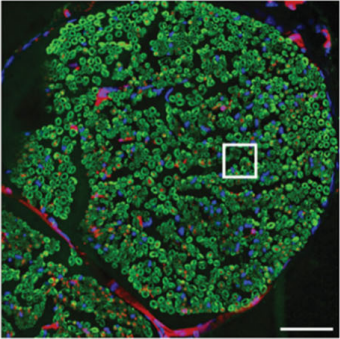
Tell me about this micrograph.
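Small blue nuclei are scattered between the fibres, and flattened nuclei line the sheath around the fascicle. Tiny red dots are scattered through the fascicle in the centres of some rings, and brighter red streaks run along the surrounding sheath and between the bundles. A neighbouring fascicle is partly seen at the lower left.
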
